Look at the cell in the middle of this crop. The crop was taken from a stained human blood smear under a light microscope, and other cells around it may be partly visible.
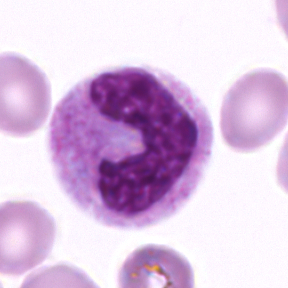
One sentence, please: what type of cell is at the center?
The cell in the middle of the field of view is a band neutrophil.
